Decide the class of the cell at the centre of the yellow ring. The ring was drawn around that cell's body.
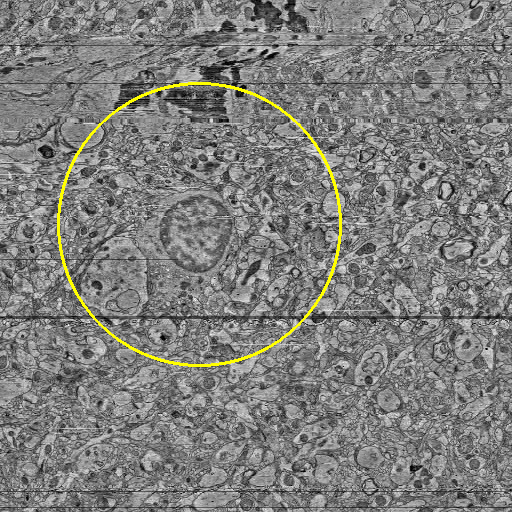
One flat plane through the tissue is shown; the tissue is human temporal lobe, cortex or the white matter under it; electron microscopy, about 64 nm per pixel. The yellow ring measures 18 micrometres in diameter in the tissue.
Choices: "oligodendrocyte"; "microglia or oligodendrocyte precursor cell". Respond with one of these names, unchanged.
oligodendrocyte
